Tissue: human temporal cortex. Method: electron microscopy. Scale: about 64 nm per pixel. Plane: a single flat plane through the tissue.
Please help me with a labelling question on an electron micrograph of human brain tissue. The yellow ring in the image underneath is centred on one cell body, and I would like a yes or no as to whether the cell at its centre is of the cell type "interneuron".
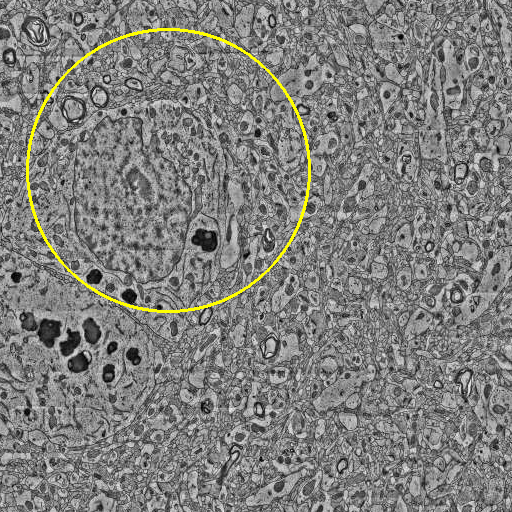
yes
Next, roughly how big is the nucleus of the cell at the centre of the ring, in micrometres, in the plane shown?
About 11 by 8 micrometers, in this plane.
